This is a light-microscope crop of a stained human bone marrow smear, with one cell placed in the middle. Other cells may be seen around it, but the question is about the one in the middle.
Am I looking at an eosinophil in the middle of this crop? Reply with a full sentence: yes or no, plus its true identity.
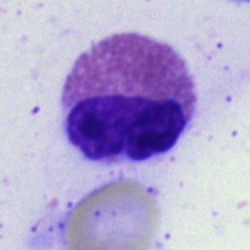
Yes, the cell placed centrally within the crop is an eosinophil.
